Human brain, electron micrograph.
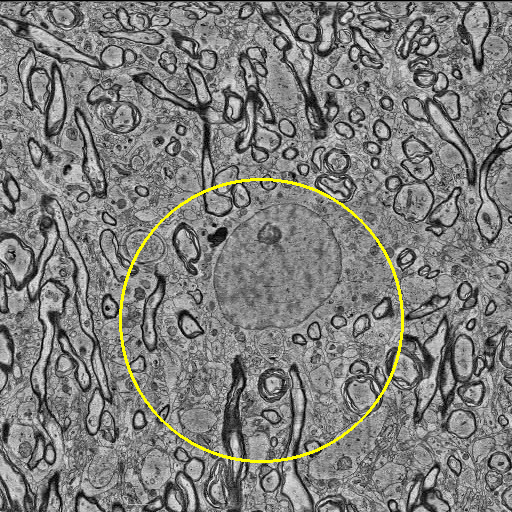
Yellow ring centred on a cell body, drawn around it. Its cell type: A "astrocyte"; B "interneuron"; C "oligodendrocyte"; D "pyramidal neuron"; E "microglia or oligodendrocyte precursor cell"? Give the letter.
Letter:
C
